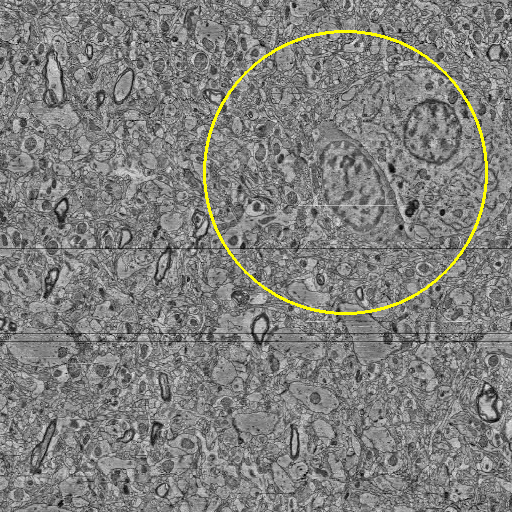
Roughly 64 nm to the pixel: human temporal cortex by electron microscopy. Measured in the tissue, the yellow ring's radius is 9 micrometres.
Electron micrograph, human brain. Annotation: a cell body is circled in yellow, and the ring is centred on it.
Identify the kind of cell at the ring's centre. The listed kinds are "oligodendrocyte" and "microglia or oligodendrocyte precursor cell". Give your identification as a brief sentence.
The circled cell body is that of an oligodendrocyte.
